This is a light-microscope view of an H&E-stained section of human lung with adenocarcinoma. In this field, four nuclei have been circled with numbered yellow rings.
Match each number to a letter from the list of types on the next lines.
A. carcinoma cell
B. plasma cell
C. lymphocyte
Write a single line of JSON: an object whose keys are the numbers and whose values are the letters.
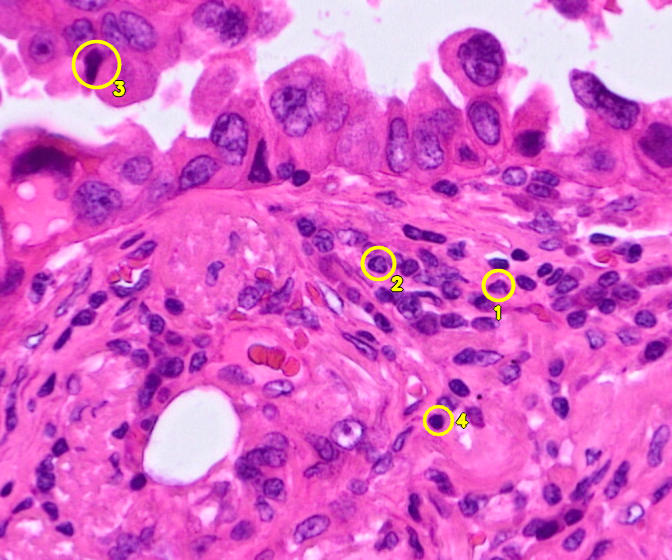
{"1": "C", "2": "C", "3": "A", "4": "C"}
